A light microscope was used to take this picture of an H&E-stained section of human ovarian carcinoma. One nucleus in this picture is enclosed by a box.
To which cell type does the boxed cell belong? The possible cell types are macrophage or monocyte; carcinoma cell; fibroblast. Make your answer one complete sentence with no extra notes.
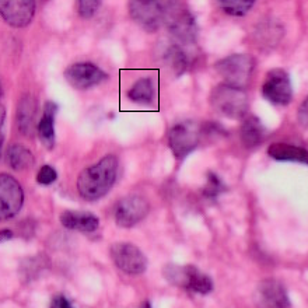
So far as cell type goes, the boxed cell is a macrophage or monocyte.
